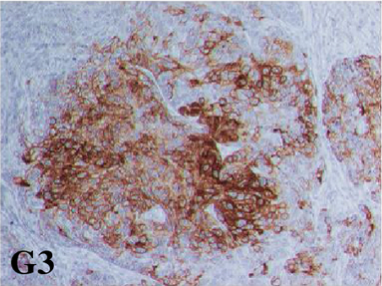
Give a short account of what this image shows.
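A large solid nest of closely packed tumor cells sits within pale blue stroma made of spindle cells. The tumor cells have round blue nuclei, and dense brown stain outlines their borders and fills parts of their cytoplasm, giving a net-like pattern. The surrounding stroma is largely unstained blue. This is a sheet of tumor epithelium with staining at cell membranes and in cytoplasm.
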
